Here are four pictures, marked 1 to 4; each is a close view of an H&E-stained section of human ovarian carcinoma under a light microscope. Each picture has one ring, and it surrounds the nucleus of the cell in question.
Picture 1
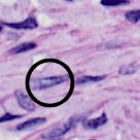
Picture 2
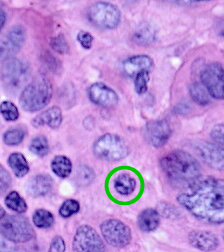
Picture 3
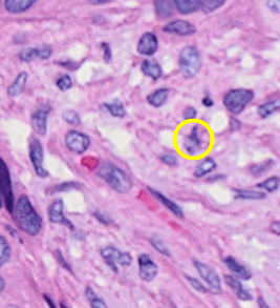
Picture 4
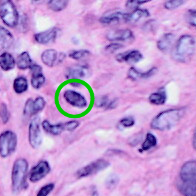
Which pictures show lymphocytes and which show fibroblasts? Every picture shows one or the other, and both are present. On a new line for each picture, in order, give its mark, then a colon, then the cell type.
1: fibroblast
2: lymphocyte
3: fibroblast
4: lymphocyte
